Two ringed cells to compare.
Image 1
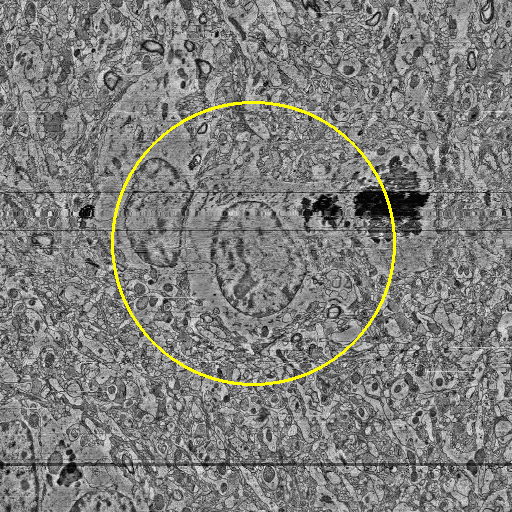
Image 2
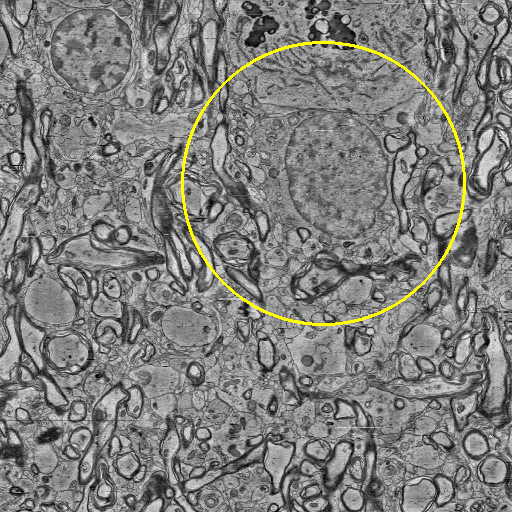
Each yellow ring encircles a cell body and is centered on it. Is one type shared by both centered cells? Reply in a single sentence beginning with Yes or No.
No, two types are found among the cells at the centers of the rings.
